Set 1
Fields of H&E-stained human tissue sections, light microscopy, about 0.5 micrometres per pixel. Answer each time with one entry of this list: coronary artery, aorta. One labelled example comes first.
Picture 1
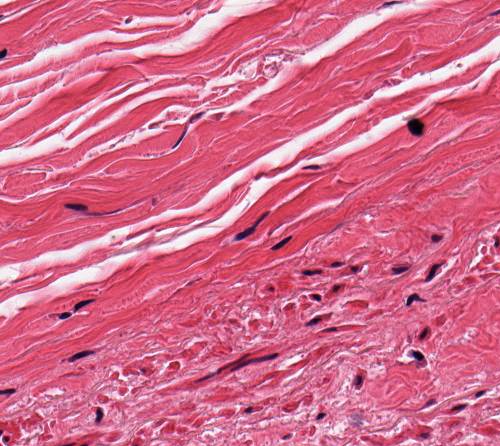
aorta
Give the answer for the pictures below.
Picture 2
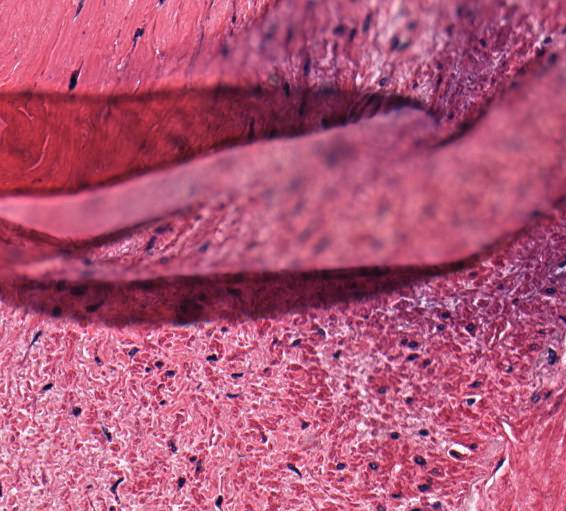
coronary artery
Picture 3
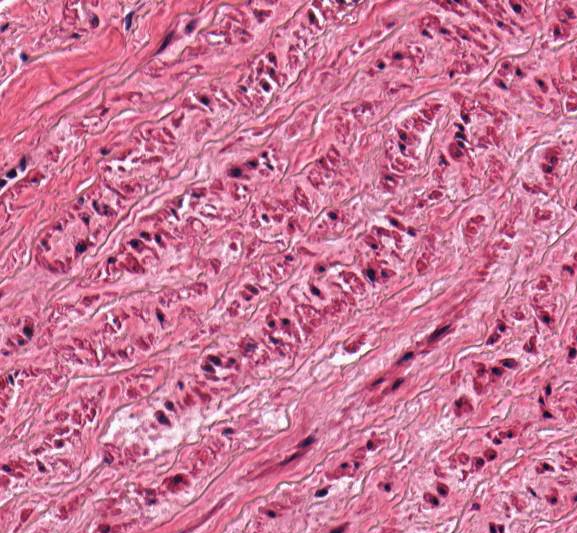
aorta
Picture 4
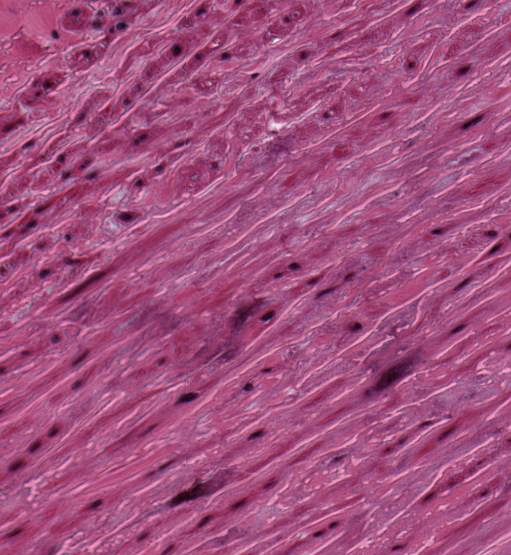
aorta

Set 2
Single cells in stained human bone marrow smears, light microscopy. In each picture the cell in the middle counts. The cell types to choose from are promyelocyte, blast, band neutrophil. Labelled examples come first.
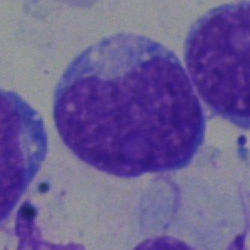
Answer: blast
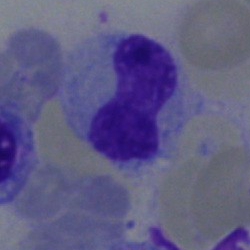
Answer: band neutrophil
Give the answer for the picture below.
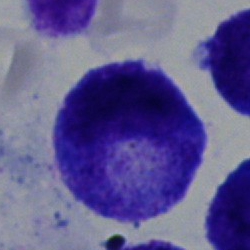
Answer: promyelocyte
